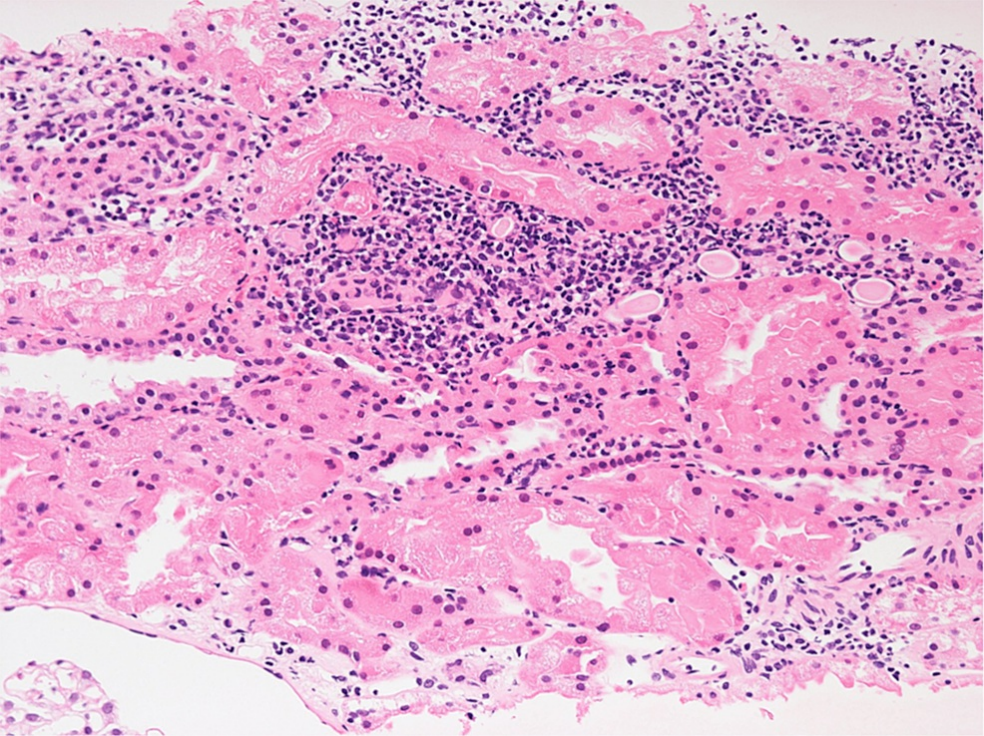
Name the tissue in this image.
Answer: Renal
